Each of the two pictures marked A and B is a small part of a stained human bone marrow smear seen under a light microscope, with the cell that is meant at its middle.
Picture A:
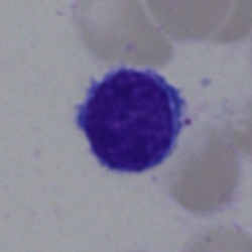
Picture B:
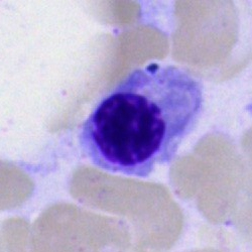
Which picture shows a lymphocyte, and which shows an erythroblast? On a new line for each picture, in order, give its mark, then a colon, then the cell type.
A: lymphocyte
B: erythroblast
